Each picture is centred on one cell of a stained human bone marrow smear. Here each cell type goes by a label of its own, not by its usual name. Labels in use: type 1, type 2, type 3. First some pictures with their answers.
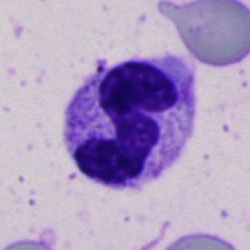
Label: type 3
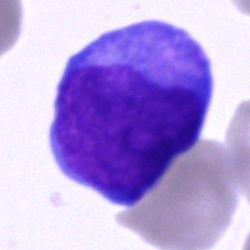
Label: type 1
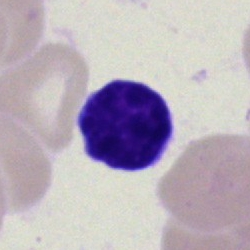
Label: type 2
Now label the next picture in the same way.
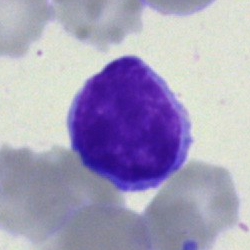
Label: type 2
